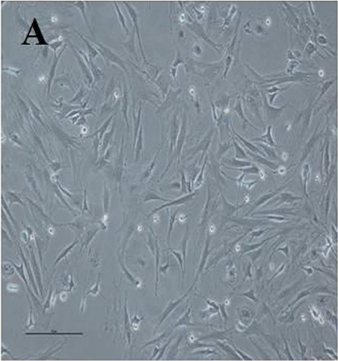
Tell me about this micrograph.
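These cultured cells show a fibroblastic form: most are elongated and spindle-shaped with long tapering ends. They lie scattered and partly aligned in loose parallel streams across the dish. A few small, round, bright cells sit among the flattened spindle cells.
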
